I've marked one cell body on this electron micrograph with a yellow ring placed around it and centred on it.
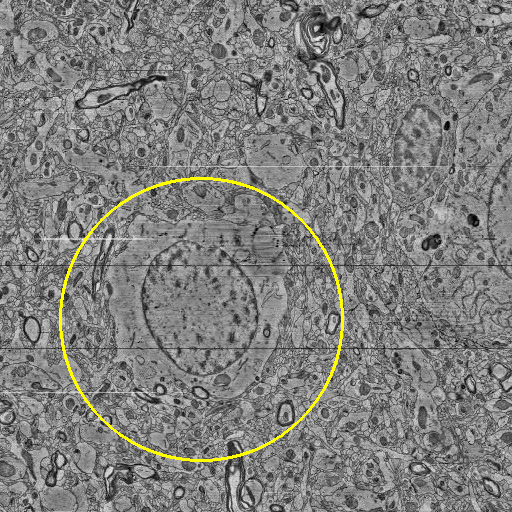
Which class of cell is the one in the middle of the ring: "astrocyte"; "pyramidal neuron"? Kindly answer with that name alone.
astrocyte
